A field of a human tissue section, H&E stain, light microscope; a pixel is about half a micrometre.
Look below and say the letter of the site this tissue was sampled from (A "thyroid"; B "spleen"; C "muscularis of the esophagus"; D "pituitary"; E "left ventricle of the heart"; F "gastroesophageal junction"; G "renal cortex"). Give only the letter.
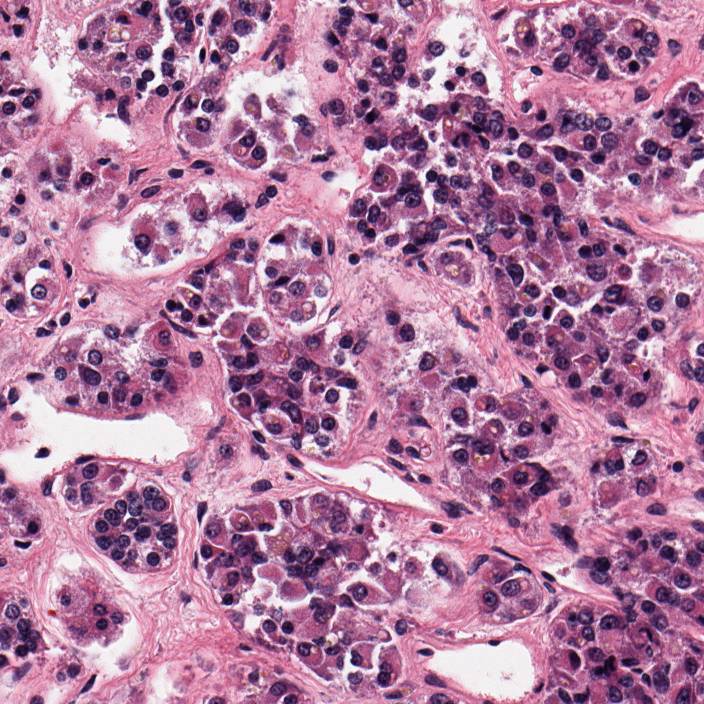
D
